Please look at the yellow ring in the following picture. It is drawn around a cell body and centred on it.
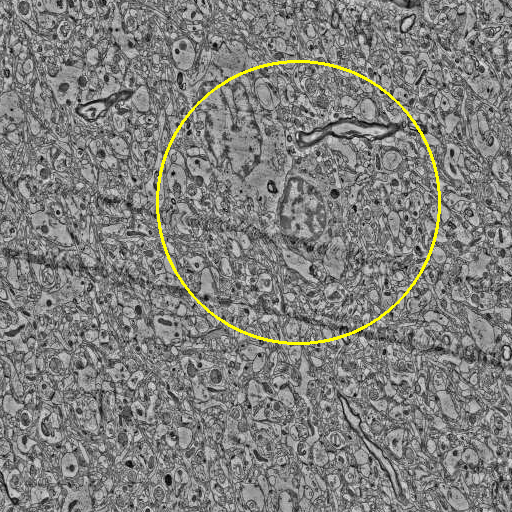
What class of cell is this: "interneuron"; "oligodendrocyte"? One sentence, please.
The ring surrounds the cell body of an oligodendrocyte.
